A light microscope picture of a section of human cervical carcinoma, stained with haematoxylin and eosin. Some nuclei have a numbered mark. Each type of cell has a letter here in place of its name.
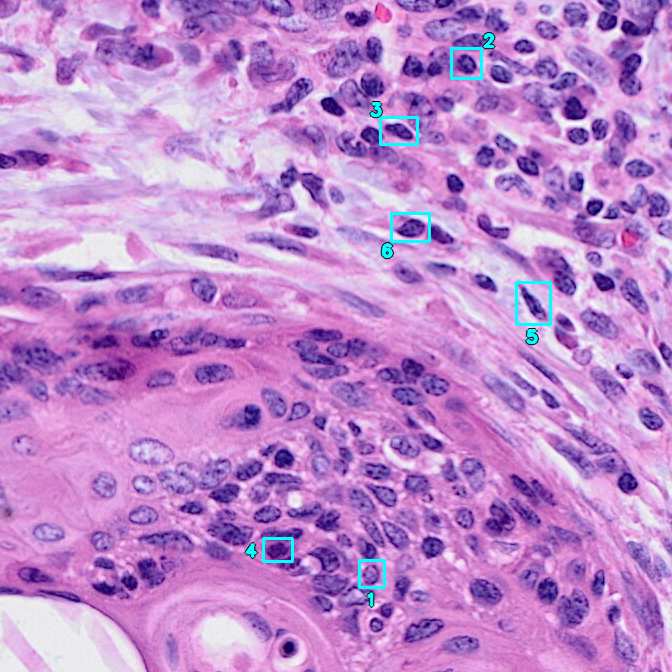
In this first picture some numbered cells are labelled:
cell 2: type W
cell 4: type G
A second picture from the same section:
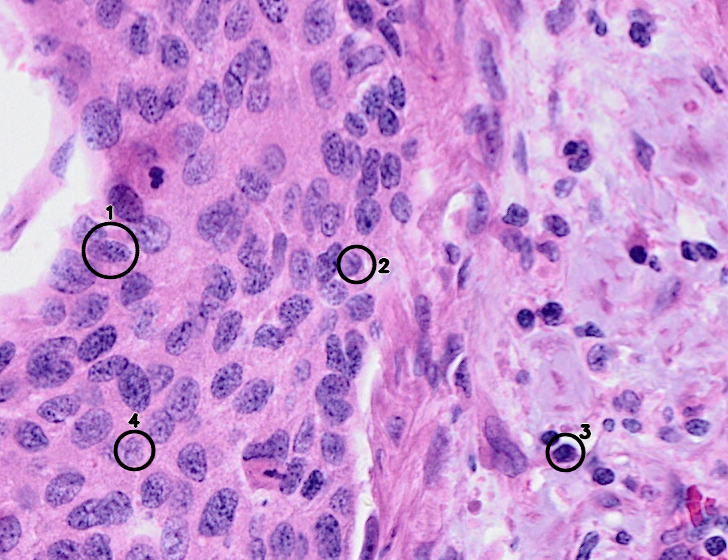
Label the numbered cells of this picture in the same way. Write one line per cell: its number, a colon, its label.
1: type G
2: type G
3: type W
4: type G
